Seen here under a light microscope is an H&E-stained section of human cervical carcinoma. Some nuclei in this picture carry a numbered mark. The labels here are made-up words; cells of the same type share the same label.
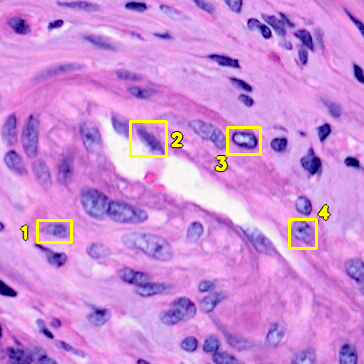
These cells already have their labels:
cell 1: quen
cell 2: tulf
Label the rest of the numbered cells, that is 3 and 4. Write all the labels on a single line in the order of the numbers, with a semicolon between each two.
quen; quen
